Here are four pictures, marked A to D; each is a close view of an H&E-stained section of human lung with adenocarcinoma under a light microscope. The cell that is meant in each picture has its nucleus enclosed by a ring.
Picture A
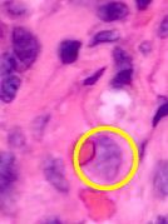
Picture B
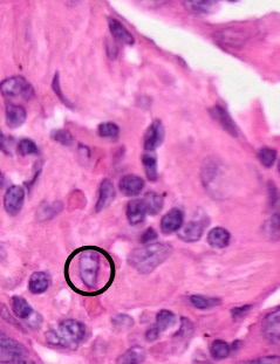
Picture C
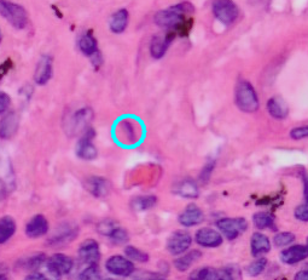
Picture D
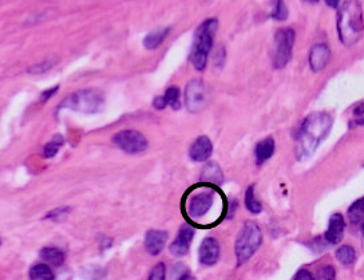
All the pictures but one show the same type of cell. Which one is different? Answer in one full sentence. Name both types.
Picture D is the odd one out: it shows a lymphocyte, while the others show endothelial cells.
